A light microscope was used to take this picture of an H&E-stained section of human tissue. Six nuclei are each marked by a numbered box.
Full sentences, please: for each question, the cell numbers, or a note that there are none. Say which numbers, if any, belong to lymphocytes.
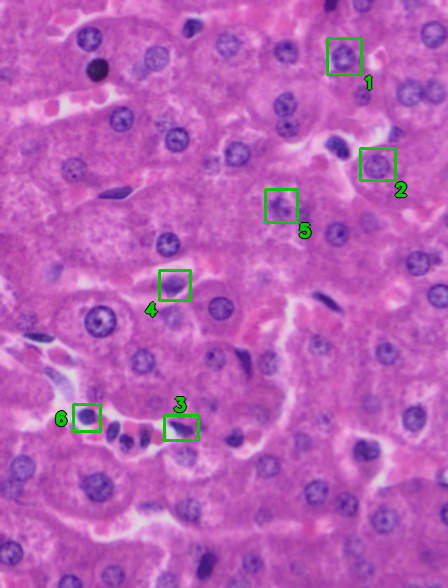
Only at number 6 is there a lymphocyte among the marked cells.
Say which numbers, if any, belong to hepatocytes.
The cells numbered 1, 2 and 5 fall into the category of hepatocytes.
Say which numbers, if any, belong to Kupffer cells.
Of all the numbered cells, only one is a Kupffer cell, and that is cell 4.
